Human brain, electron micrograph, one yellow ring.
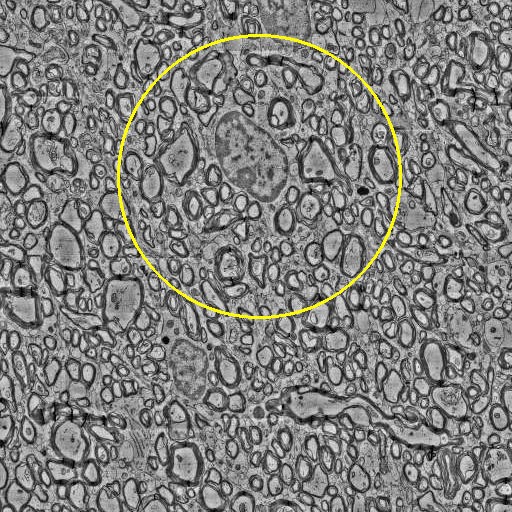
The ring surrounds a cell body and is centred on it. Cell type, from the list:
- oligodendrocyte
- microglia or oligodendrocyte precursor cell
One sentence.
The yellow ring circles a microglial cell or oligodendrocyte precursor cell.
